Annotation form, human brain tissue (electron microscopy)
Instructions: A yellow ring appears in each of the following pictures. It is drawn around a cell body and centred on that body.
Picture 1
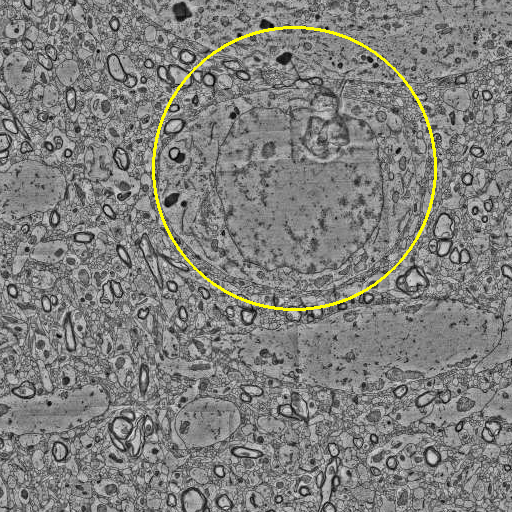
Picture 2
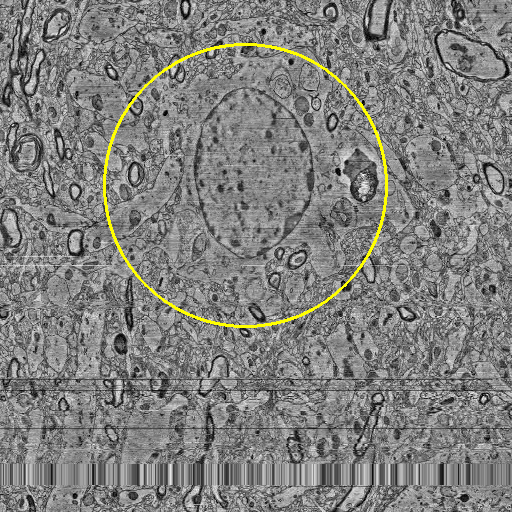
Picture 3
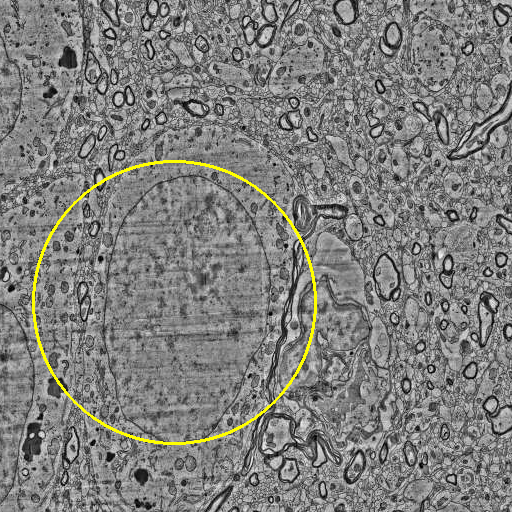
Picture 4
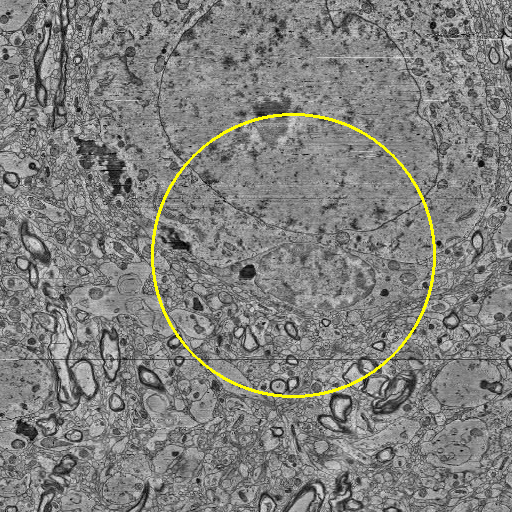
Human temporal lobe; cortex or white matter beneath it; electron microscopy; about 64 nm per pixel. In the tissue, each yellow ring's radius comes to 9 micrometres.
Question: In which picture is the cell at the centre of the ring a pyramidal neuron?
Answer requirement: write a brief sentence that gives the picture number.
The cell at the centre of the ring in Picture 3 is the one asked for.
